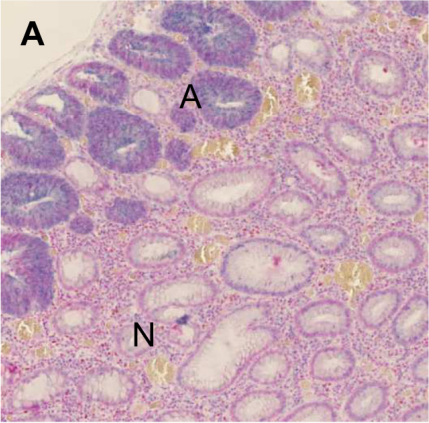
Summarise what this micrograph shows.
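This is colonic mucosa cut across its crypts, with two kinds of crypt side by side. At upper left the crypts are packed with tall, crowded columnar cells whose elongated, stratified nuclei take up a deep blue-purple stain, and they have lost their pale mucus-filled cells. Toward the lower right the crypts are round or oval with a single regular layer of epithelium around a wide, pale lumen, their cells full of pale mucin, and they stain only faintly. Pink-stained cells of the lamina propria fill the spaces between crypts, and scattered golden-brown patches lie in it.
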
